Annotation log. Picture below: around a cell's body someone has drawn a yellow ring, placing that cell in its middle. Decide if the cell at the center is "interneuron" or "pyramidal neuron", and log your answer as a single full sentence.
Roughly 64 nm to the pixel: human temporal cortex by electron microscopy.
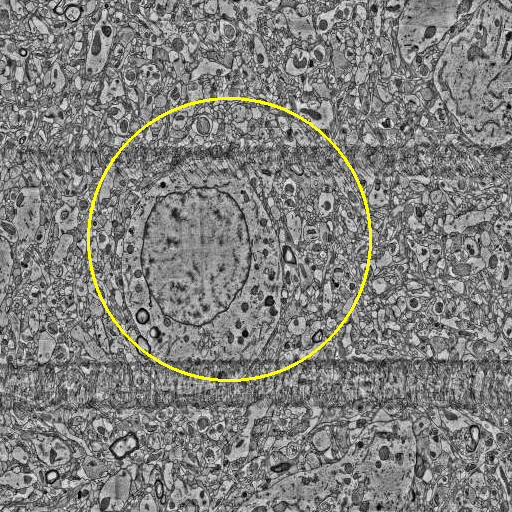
My entry records a pyramidal neuron as the cell sitting at the center of the yellow ring.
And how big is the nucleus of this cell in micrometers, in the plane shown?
The nucleus comes to roughly 9 by 7 micrometres in this plane.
